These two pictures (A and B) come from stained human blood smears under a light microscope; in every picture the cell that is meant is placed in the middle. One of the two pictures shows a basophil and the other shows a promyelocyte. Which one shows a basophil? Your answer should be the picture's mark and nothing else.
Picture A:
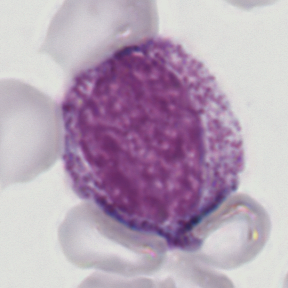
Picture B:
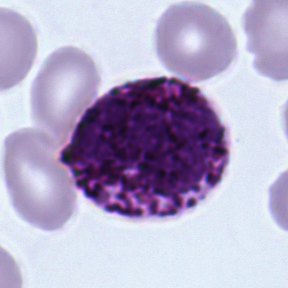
B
